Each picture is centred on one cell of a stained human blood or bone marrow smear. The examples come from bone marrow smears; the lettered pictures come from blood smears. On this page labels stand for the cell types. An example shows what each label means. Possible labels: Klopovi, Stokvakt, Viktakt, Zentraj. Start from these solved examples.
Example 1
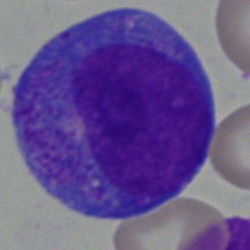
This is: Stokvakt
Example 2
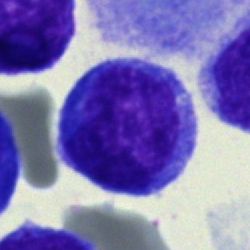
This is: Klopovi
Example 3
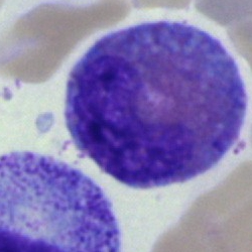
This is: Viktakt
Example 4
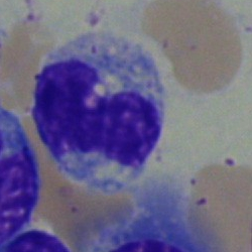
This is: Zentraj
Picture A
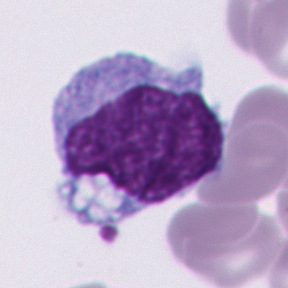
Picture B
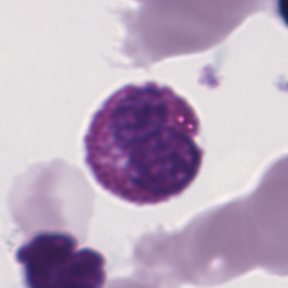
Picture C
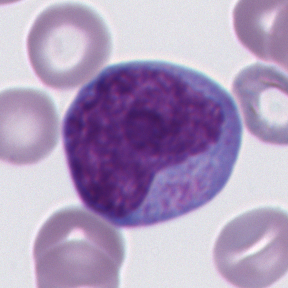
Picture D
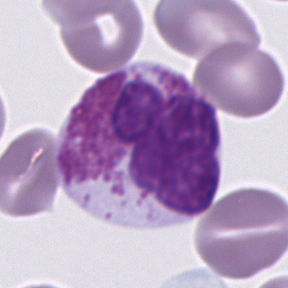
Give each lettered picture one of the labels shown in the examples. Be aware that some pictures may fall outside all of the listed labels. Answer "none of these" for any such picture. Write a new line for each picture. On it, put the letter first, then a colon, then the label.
A: Zentraj
B: Viktakt
C: Stokvakt
D: Viktakt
